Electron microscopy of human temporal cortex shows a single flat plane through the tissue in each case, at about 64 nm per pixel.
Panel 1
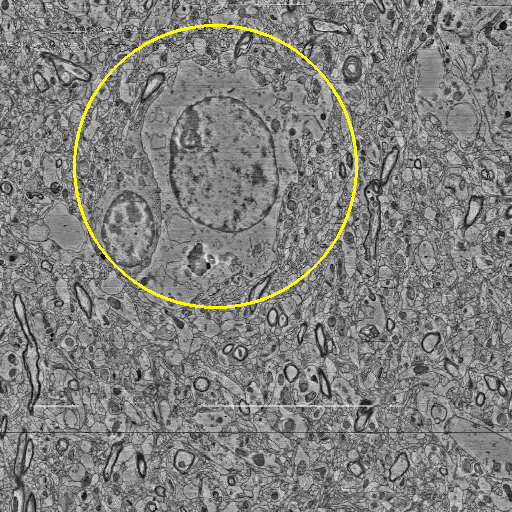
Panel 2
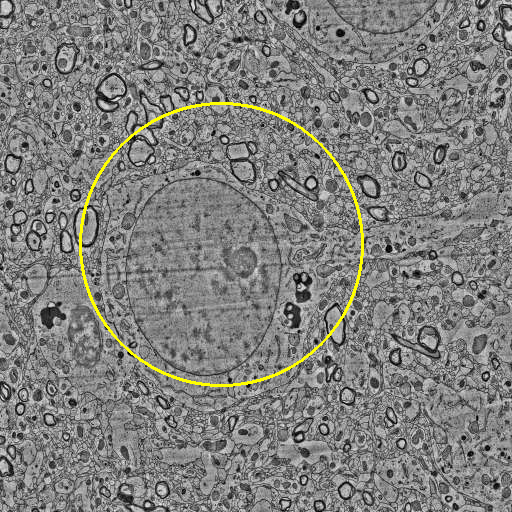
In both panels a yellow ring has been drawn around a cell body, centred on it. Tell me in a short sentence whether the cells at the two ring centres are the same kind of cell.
No, they are two kinds of cell.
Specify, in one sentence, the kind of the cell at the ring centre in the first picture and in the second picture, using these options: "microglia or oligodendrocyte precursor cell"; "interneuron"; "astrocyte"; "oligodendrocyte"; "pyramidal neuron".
So the first is an astrocyte, the second a pyramidal neuron.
